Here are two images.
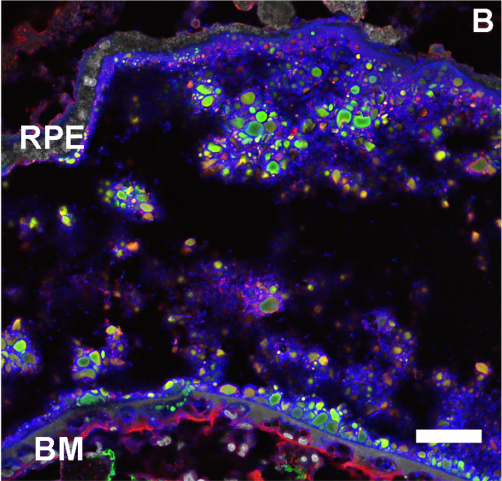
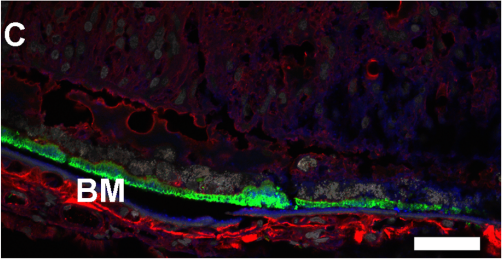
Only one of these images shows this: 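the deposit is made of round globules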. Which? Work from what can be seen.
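Second image: the green deposit is a thin flat band along the membrane. First image: the deposit is packed with many round green and yellow globules. On this evidence: the first image.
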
